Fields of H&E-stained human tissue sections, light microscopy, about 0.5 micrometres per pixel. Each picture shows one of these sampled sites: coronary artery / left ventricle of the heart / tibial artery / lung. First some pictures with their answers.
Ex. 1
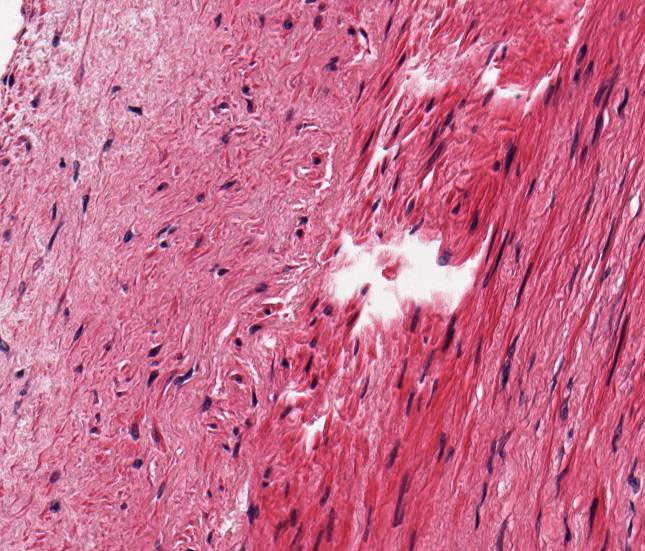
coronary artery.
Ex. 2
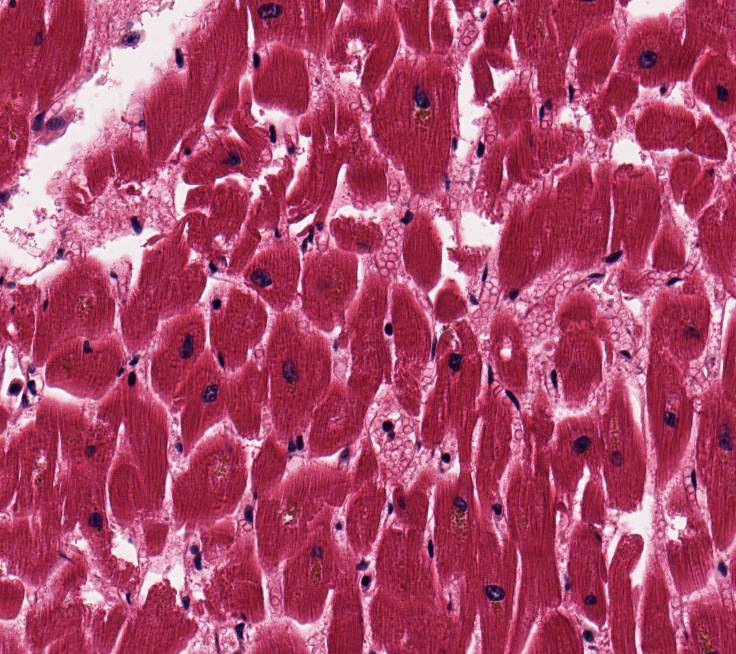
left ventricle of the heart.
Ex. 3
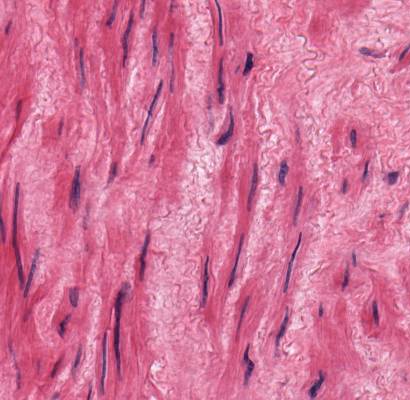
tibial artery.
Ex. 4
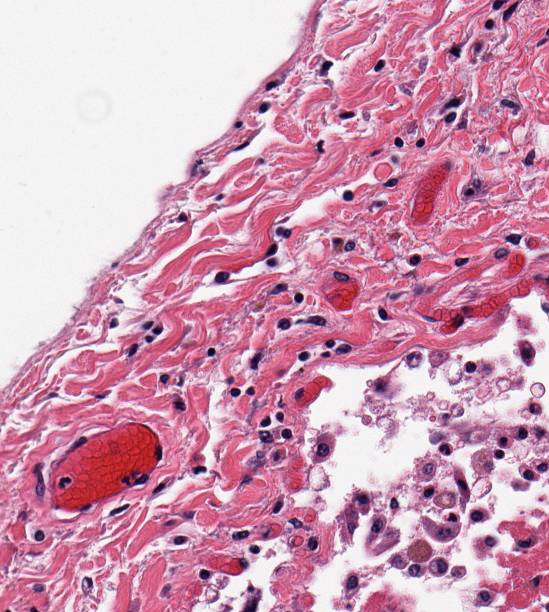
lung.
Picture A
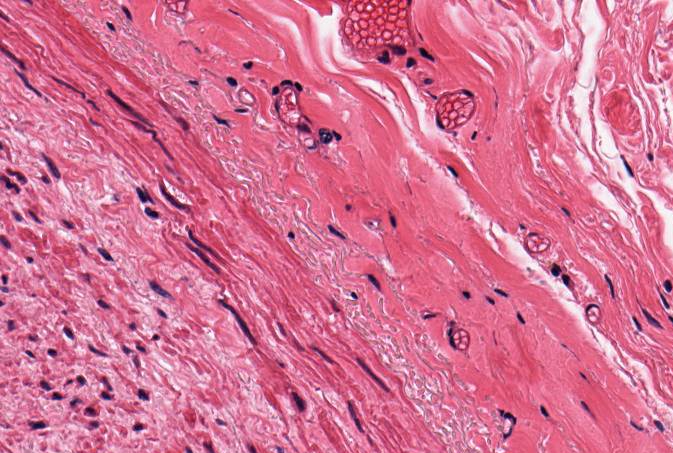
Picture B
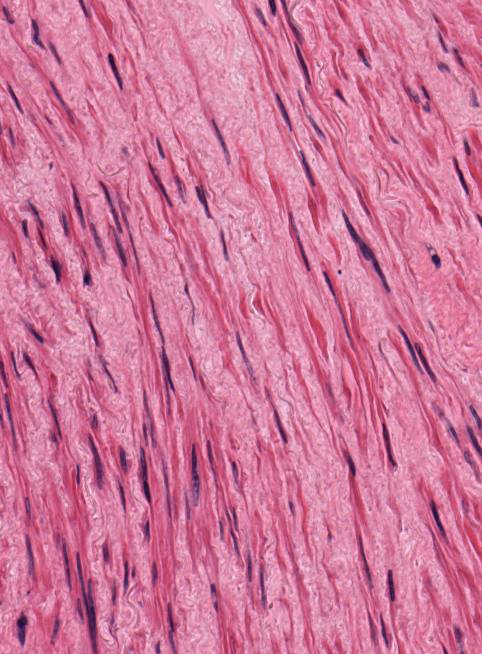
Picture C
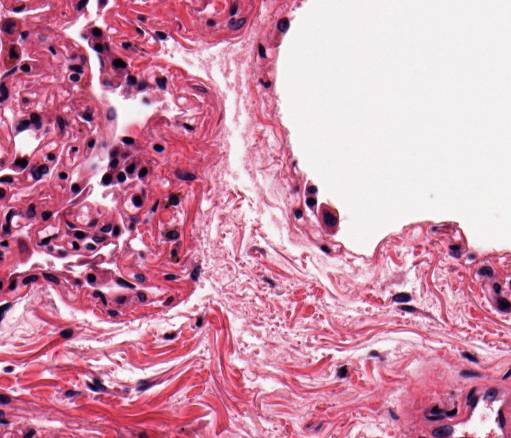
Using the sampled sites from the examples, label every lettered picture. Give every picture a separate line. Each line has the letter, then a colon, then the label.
A: coronary artery.
B: tibial artery.
C: lung.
